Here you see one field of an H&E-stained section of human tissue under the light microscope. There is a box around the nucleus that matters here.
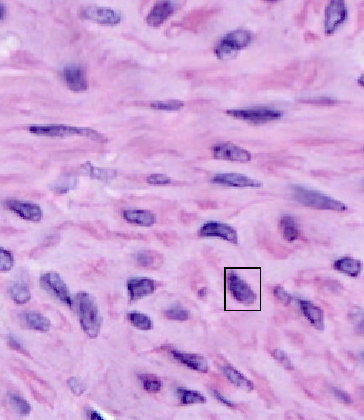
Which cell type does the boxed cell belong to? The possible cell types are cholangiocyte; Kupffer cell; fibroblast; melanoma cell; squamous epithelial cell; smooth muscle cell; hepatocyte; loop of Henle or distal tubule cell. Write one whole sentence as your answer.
At the level of cell identity, the boxed cell is a smooth muscle cell.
